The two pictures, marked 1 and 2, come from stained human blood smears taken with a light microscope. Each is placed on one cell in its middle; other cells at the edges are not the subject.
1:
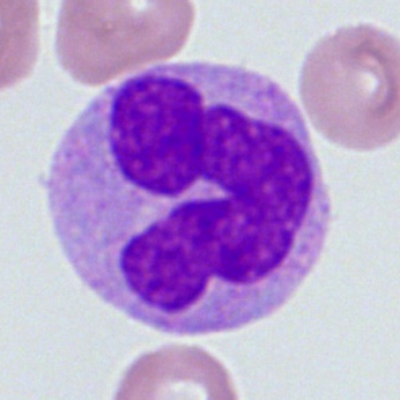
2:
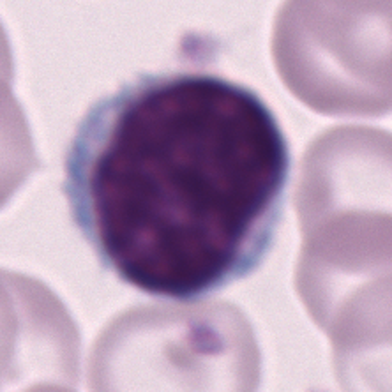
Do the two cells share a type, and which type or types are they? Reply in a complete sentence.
No, a monocyte is the cell in crop 1; a lymphocyte is the cell in crop 2.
